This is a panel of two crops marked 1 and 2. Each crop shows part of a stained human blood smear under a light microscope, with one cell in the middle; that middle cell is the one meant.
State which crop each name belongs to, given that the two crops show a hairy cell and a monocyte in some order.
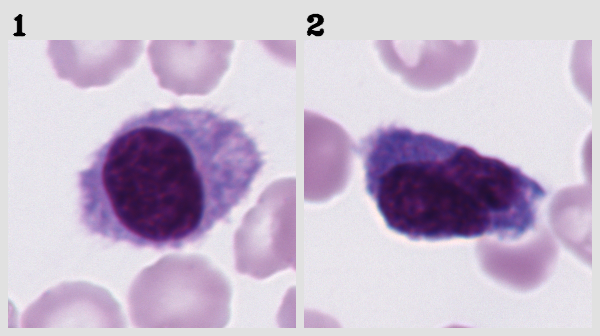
1: hairy cell
2: monocyte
